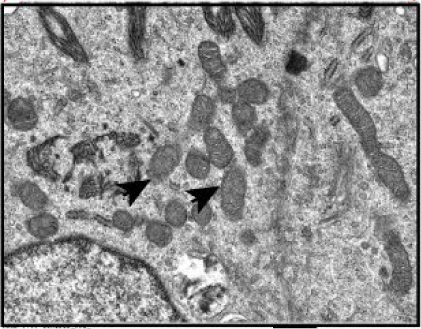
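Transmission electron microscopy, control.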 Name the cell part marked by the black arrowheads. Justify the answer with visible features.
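Small, compact mitochondria with tight cristae. The marked organelles are small, dense, oval bodies. Their interior is dark and uniformly packed.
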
